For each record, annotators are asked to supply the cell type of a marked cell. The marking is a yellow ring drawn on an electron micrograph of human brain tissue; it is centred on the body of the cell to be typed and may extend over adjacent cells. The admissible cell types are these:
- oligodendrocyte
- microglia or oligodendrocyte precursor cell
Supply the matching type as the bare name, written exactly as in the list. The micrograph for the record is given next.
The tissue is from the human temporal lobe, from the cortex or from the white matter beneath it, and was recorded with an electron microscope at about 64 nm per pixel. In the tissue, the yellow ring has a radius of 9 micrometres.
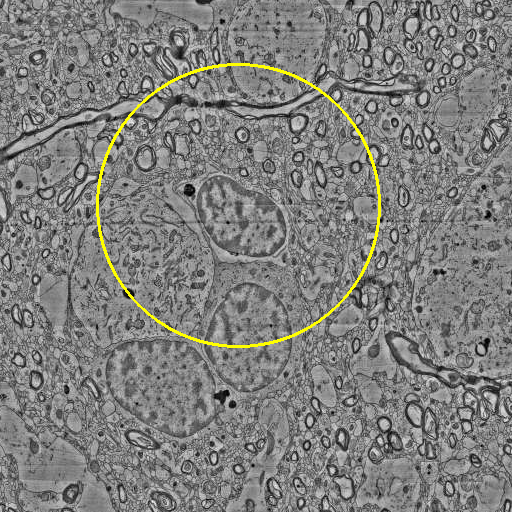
microglia or oligodendrocyte precursor cell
